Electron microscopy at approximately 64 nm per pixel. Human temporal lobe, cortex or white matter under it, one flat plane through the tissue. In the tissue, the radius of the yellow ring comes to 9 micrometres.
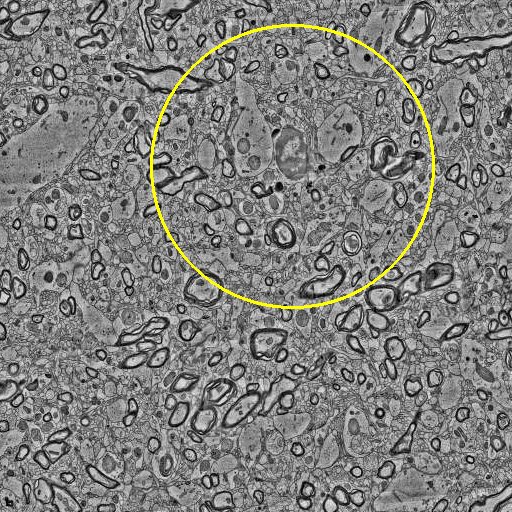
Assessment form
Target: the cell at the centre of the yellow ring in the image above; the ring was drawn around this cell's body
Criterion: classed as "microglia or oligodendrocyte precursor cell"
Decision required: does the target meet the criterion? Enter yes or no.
yes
